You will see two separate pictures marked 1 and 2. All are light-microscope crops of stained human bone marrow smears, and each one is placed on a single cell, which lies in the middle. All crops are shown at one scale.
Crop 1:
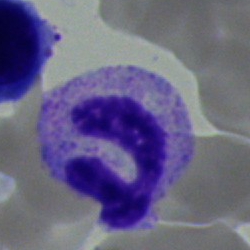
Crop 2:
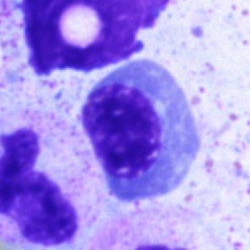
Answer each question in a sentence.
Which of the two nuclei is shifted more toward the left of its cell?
It is the nucleus in crop 2 that lies further toward the left of its cell.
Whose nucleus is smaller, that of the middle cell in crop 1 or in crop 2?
Smaller is the nucleus in crop 2, and the other is about 1.5 times as large in area.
